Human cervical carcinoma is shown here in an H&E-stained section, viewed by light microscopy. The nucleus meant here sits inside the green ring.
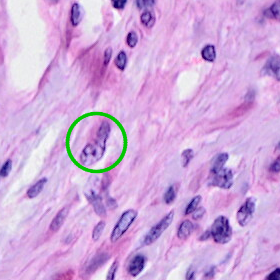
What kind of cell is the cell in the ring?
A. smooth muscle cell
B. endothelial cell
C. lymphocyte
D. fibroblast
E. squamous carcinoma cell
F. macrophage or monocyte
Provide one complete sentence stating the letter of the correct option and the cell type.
The choice that fits is option F, as the cell in the ring is a macrophage or monocyte.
